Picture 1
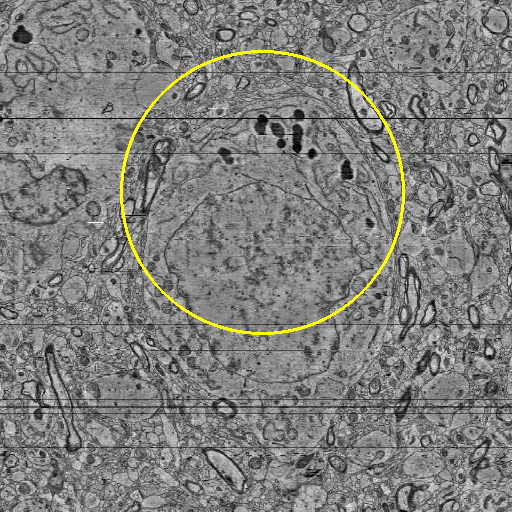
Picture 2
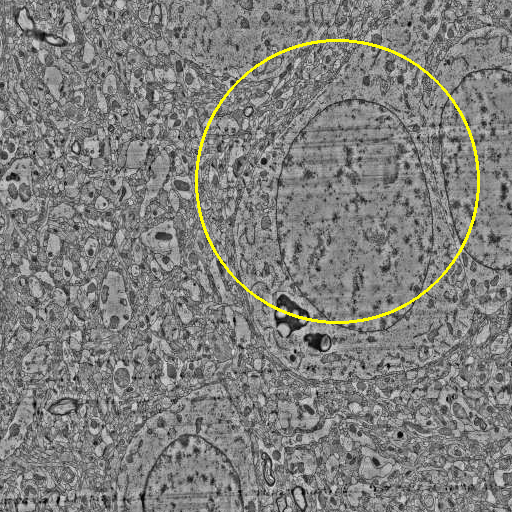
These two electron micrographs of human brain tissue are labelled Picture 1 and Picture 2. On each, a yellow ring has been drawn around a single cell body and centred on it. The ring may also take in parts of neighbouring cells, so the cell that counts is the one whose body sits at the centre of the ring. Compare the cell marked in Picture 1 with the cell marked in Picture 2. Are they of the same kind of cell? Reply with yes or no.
yes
